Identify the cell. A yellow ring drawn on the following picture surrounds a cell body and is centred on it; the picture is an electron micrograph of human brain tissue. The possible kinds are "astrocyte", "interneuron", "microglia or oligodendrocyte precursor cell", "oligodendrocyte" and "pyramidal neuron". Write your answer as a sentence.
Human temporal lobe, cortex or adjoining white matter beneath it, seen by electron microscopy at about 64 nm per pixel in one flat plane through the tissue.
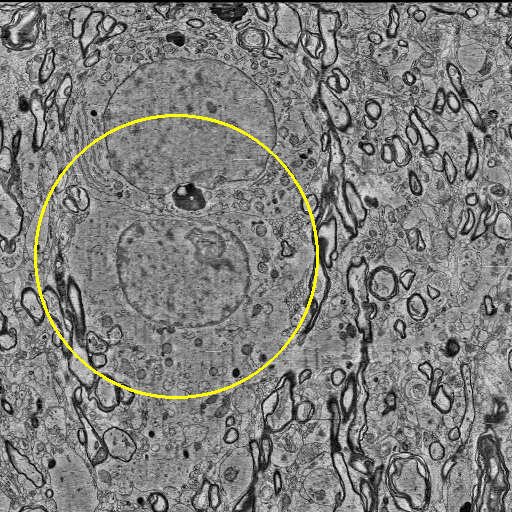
The cell identified by the ring is an astrocyte.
